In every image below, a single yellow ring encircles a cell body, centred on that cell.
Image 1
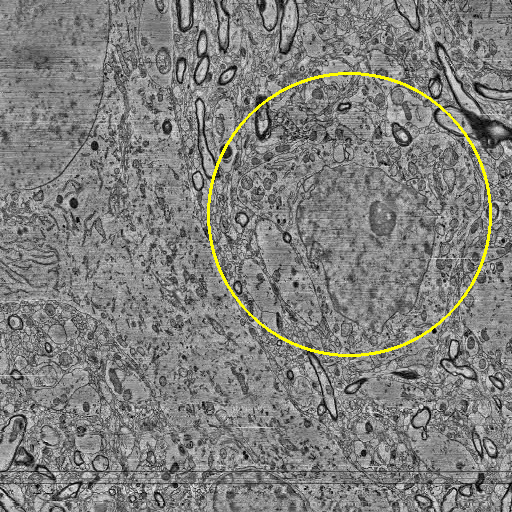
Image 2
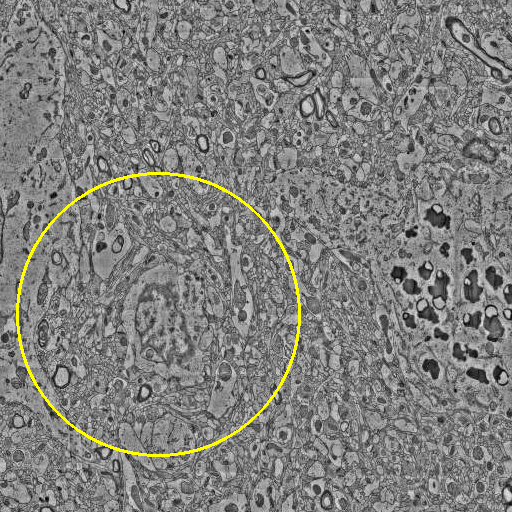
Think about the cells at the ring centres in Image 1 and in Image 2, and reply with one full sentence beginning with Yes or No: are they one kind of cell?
Yes, the cells centred in the rings of Image 1 and Image 2 are one kind of cell.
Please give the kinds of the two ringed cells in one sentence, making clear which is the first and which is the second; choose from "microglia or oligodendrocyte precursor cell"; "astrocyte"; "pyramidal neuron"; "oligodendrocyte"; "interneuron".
The cell at the ring centre is an interneuron in both pictures.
